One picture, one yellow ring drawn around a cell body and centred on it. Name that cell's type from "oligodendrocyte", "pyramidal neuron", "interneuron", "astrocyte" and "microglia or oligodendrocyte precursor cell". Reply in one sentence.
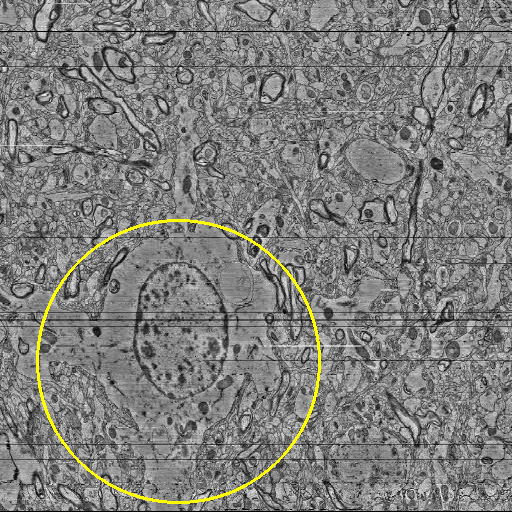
Centred in the ring is an astrocyte.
